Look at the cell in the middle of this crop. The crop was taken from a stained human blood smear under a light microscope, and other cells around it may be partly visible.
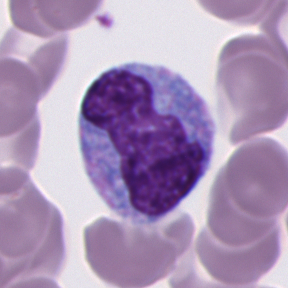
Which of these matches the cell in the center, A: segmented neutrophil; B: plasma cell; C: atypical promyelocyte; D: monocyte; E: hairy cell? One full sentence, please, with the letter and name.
The cell positioned centrally is a monocyte, as given in option D, which is correct.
